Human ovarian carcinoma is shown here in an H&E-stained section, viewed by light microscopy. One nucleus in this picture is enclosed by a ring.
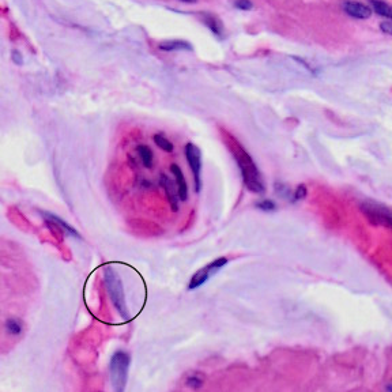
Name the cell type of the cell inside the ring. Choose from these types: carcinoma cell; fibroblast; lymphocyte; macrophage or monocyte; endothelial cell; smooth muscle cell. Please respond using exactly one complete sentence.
At the level of cell identity, the cell inside the ring is an endothelial cell.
